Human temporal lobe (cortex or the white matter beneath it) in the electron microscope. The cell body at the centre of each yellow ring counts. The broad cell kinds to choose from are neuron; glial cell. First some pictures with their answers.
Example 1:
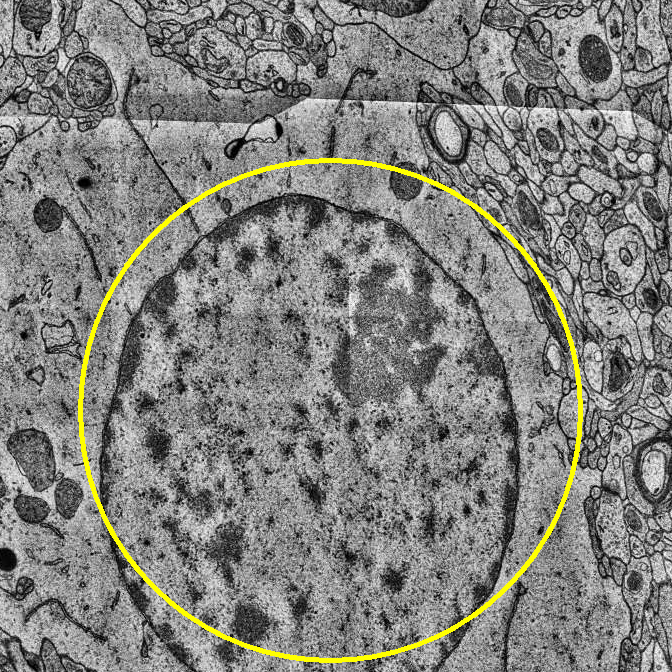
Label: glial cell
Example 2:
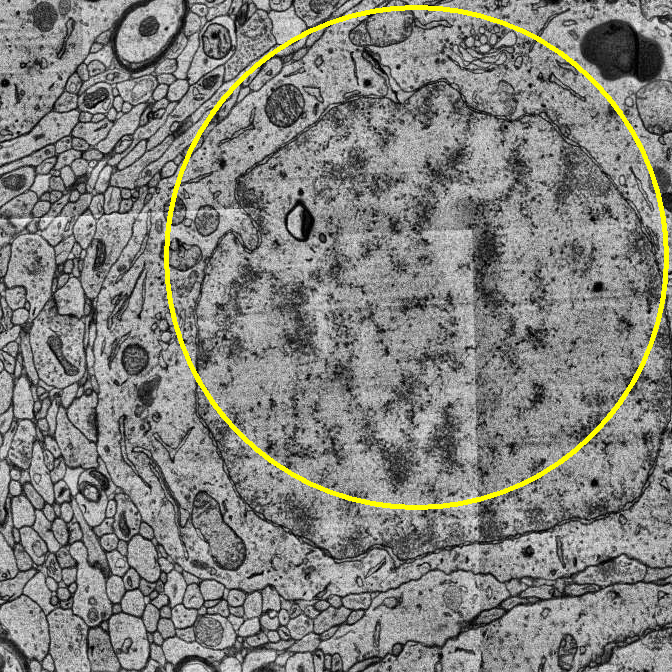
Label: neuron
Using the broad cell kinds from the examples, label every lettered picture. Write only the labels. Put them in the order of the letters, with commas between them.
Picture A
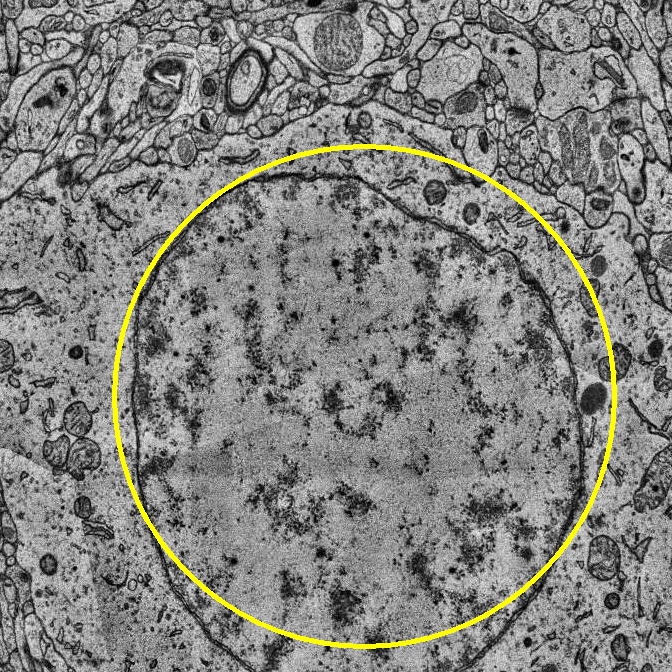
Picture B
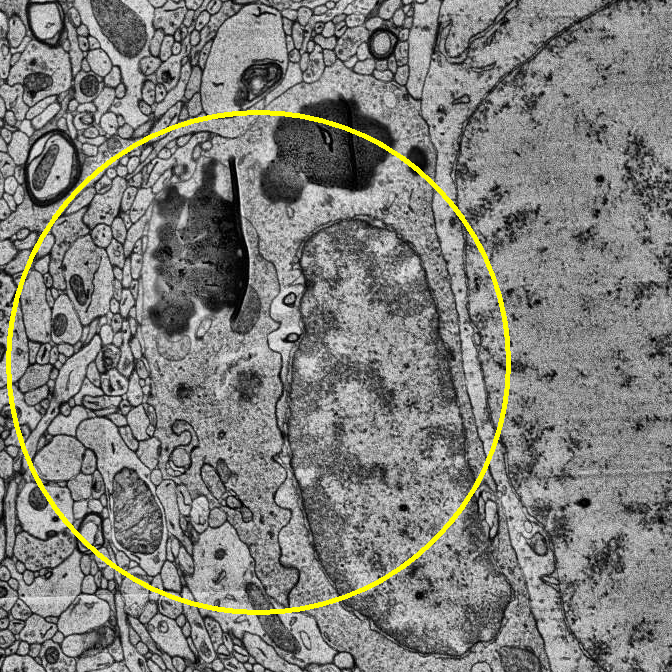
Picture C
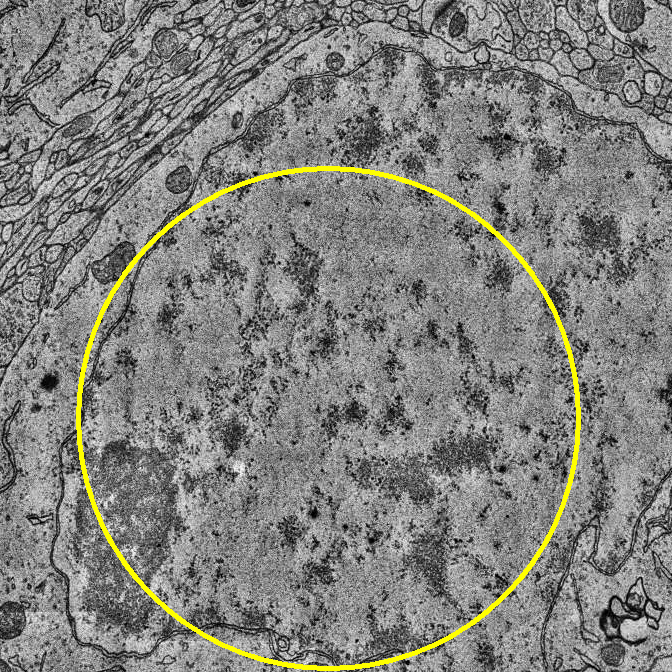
neuron, glial cell, neuron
